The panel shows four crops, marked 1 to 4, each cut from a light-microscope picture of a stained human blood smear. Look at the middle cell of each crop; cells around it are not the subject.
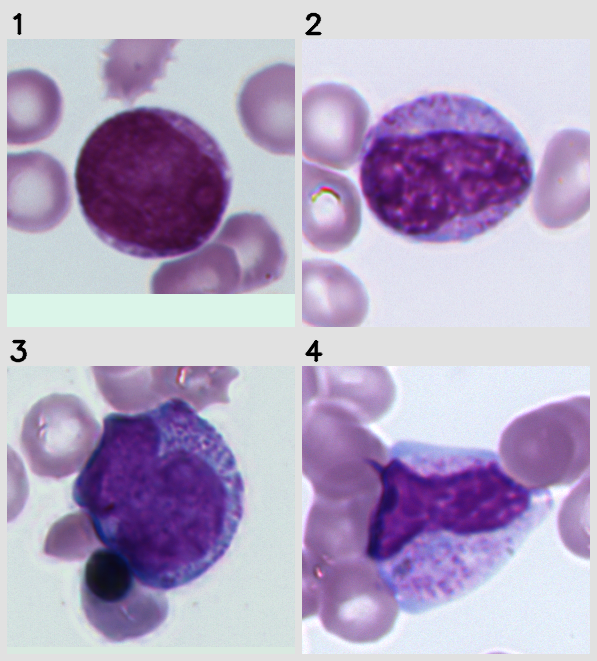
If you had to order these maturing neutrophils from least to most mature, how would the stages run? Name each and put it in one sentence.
From the least mature to the most mature, the order reads crop 1 (a myeloblast), crop 3 (a promyelocyte), crop 2 (a myelocyte) and crop 4 (a band neutrophil).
